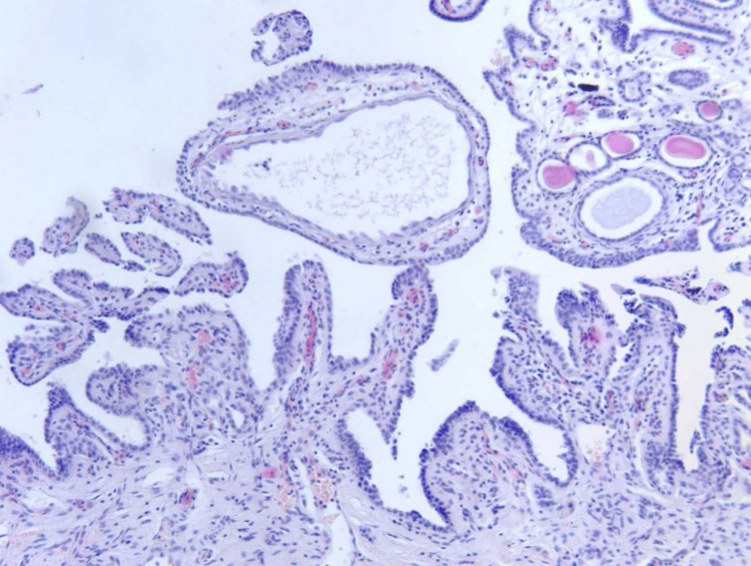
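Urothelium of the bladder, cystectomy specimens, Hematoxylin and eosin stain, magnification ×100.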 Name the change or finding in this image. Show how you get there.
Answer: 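Papillary fronds with thin fibrovascular cores project from the surface. Fronds and small tubules are lined by a single layer of small cuboidal cells. Small round tubules at upper right contain pink material. So: nephrogenic adenoma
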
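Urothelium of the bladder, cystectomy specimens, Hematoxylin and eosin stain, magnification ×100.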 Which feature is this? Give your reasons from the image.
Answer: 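Finger-like papillae rise from the stroma across the lower half. Small round tubular structures sit in the stroma at upper right.
Papillary and tubular growth pattern.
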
